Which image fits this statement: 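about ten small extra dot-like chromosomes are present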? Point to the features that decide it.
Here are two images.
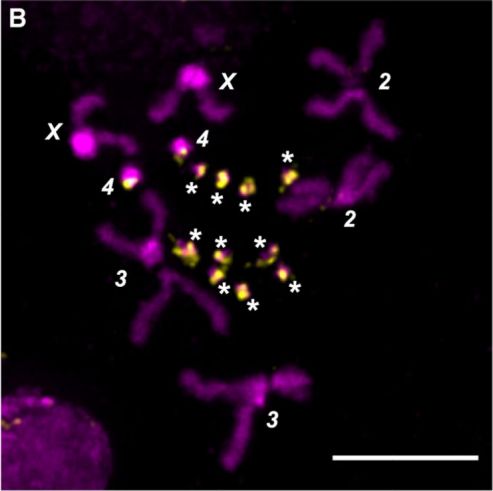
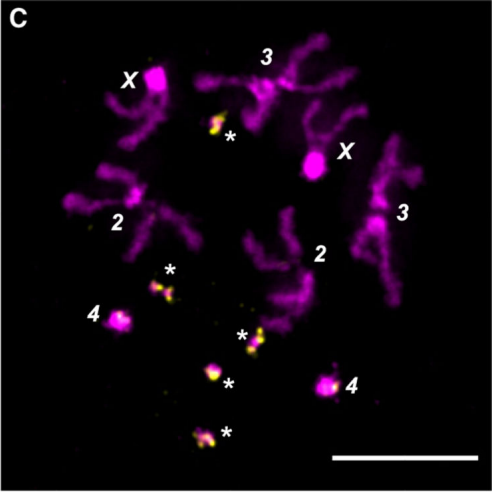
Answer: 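Second image: five small dots with yellow signal, each marked with an asterisk. First image: about ten small dots with yellow signal, clustered near the centre, each marked with an asterisk. On this evidence: the first image.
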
